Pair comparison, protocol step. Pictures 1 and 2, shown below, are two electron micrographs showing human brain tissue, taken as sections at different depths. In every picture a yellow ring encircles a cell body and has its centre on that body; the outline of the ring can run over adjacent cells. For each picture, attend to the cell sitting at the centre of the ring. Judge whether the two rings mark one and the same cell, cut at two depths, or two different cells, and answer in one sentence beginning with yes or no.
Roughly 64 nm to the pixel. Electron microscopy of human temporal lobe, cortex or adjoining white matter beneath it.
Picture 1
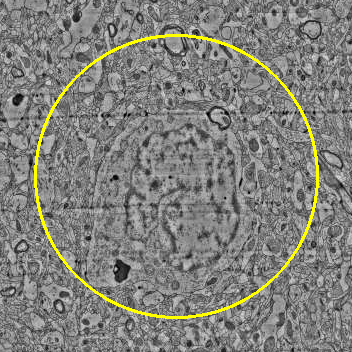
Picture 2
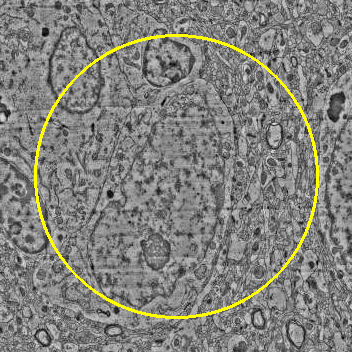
No, a different cell sits inside each of the two rings.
